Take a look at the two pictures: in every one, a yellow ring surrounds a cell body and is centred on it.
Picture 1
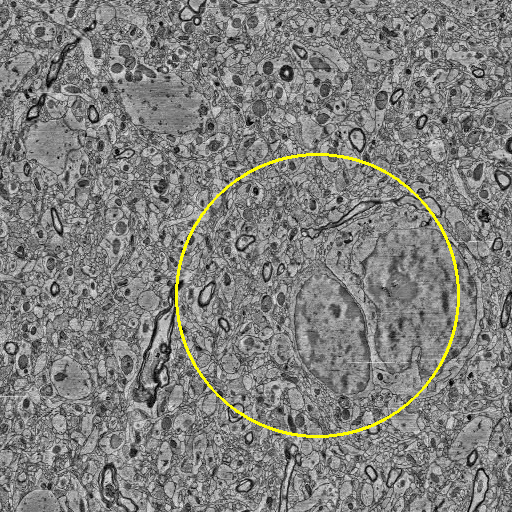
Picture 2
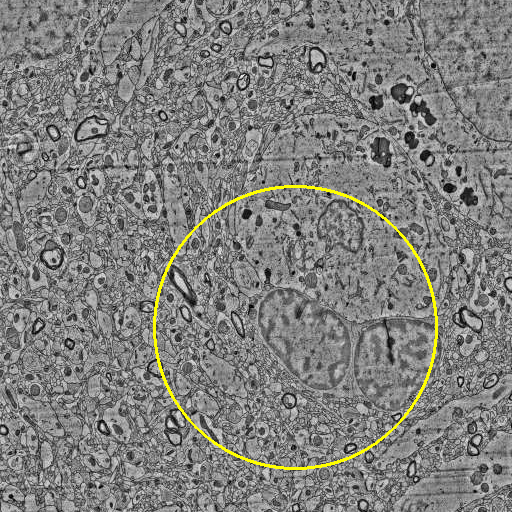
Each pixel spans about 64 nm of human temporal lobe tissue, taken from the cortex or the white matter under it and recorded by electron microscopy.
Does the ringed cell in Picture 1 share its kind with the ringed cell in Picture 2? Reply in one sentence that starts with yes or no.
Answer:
Yes, the two centred cells, one per picture, are of one kind.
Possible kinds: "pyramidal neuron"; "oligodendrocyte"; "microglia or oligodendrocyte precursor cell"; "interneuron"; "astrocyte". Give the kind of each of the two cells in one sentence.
The cell at the ring centre is an oligodendrocyte in both pictures.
